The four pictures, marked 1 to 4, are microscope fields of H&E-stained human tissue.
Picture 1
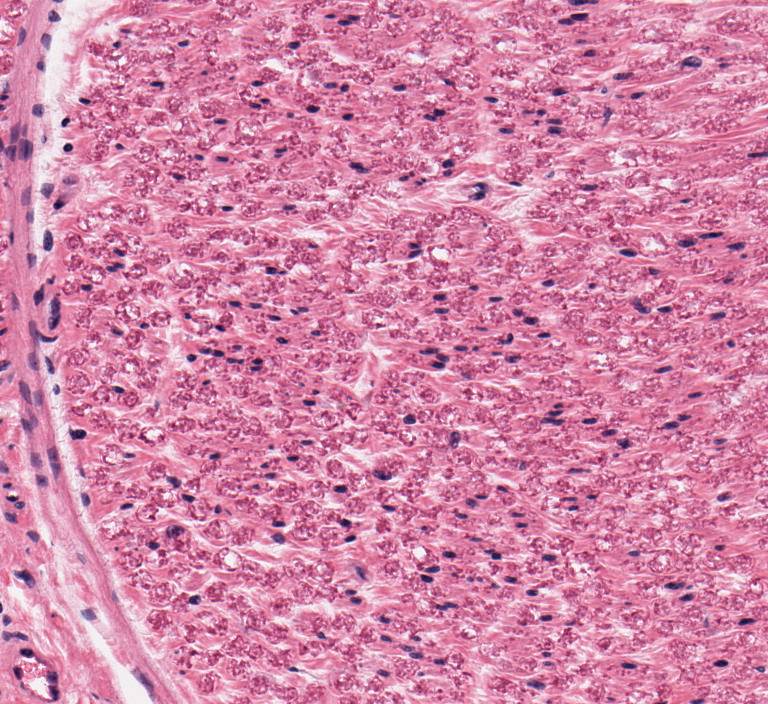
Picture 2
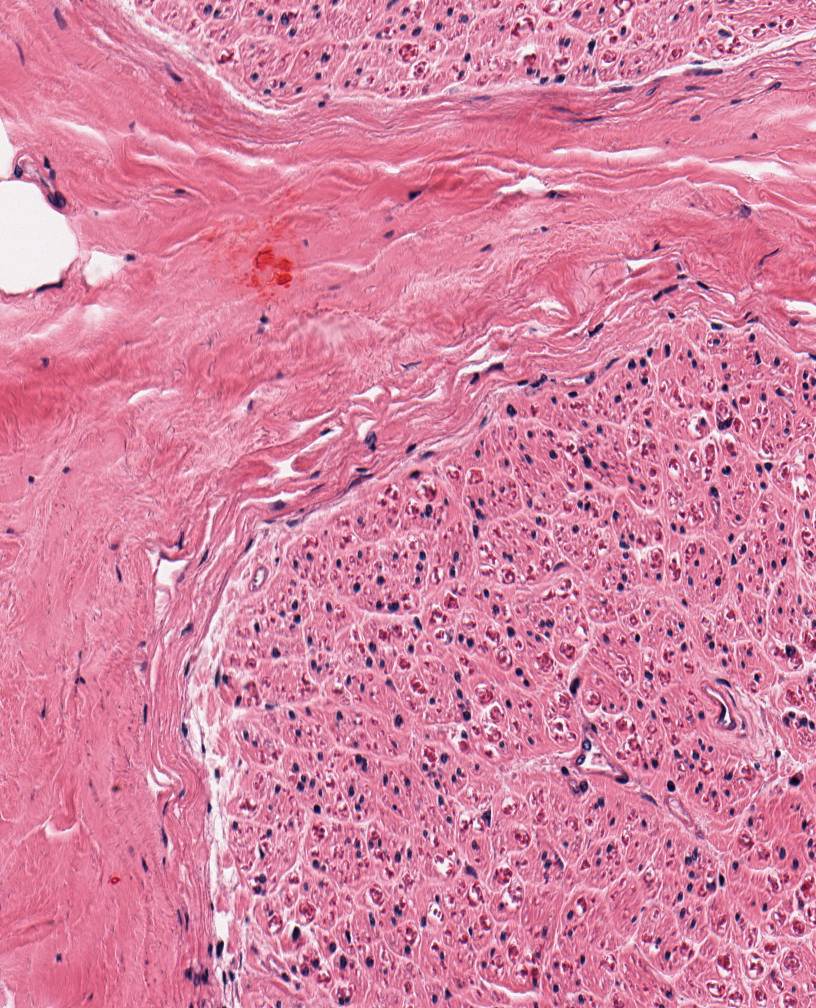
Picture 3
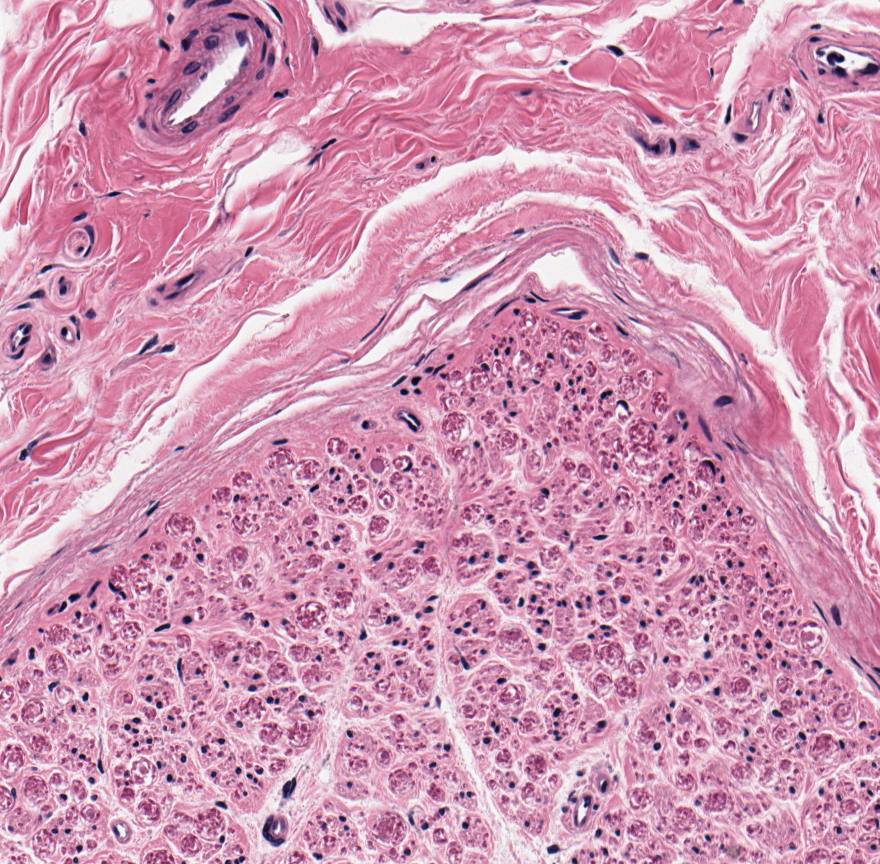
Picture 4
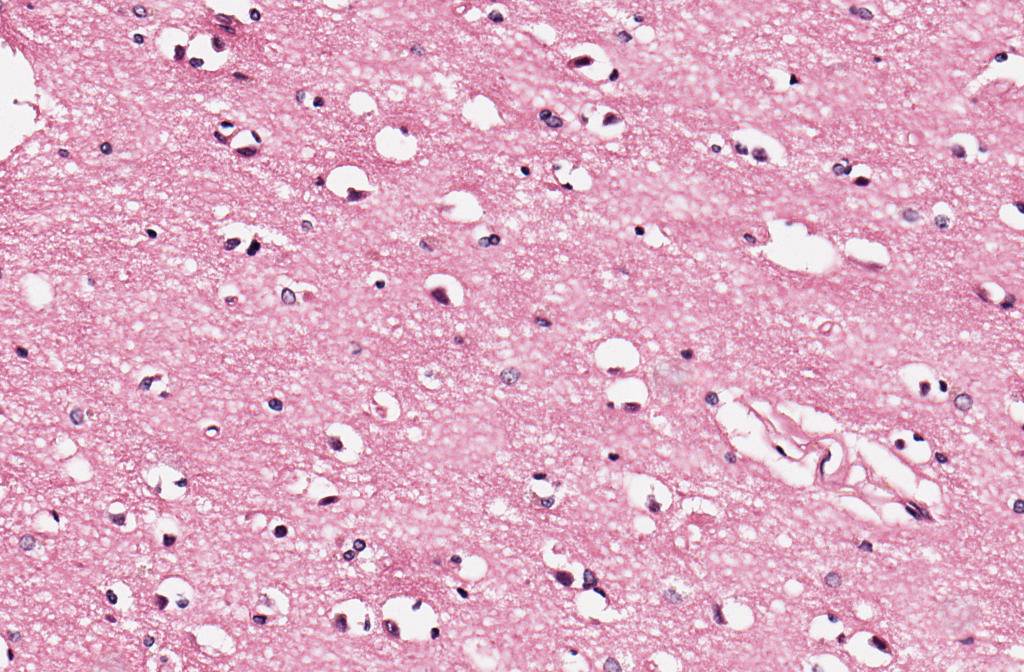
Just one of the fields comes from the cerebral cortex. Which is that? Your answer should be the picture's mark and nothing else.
4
